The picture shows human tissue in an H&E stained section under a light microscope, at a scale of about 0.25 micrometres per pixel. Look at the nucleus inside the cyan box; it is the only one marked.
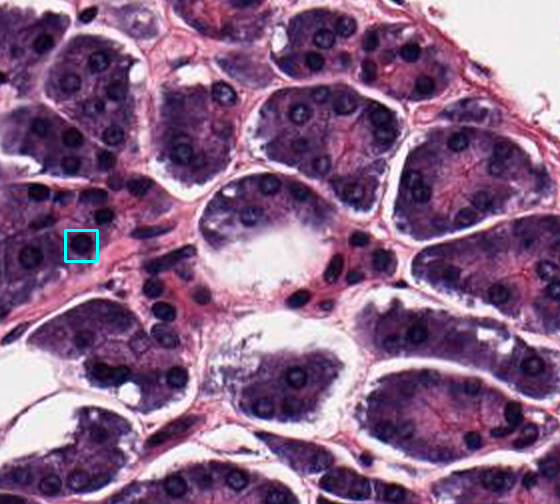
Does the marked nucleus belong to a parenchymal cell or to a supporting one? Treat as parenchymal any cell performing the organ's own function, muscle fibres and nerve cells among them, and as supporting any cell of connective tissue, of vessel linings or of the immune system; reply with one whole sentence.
The marked nucleus is that of a cell of the parenchyma, namely a pancreatic acinar cell.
